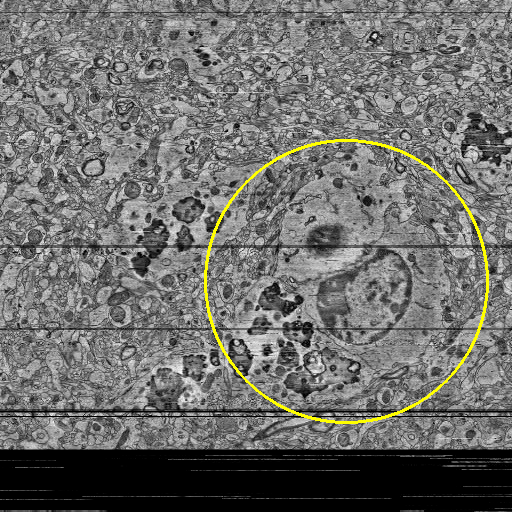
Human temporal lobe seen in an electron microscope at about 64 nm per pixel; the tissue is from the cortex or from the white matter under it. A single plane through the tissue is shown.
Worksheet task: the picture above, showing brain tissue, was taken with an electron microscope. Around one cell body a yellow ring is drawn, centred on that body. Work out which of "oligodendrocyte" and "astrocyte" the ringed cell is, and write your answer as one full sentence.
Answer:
It is an astrocyte whose cell body lies at the centre of the yellow ring.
